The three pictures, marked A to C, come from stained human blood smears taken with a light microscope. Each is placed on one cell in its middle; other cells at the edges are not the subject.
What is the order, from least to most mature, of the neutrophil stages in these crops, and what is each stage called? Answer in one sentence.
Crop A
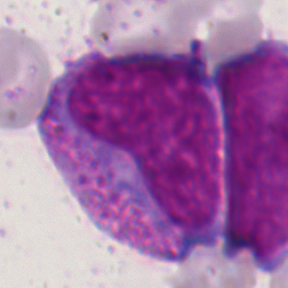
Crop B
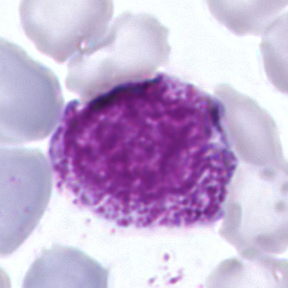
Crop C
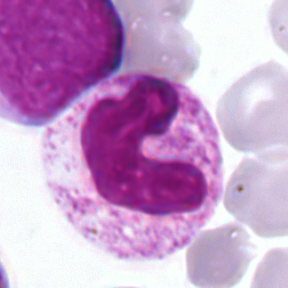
Ordered from the youngest stage to the most mature, the crops are crop A (a promyelocyte), crop B (a myelocyte) and crop C (a band neutrophil).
